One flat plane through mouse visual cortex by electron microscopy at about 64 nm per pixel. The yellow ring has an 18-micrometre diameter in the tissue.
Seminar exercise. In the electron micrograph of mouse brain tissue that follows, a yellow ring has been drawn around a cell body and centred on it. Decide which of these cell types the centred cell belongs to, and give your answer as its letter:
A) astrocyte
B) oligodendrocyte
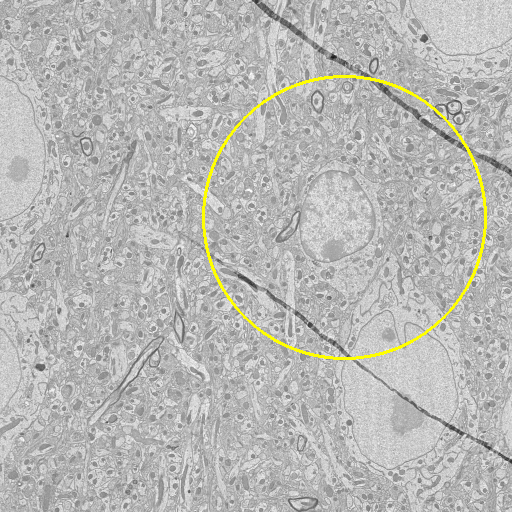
B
